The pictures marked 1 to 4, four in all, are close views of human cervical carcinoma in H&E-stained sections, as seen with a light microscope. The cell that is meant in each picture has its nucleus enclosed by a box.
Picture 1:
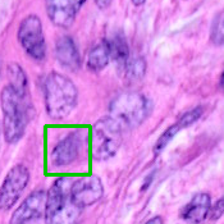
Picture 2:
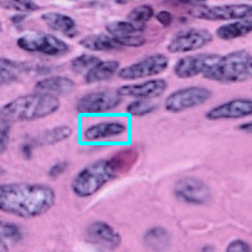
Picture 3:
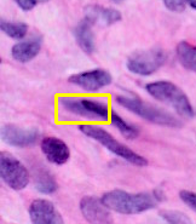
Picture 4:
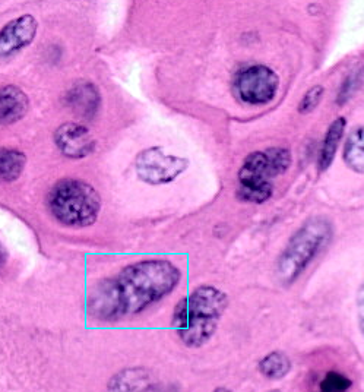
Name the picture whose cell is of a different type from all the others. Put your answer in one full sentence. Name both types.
Picture 3 differs, because its cell is a fibroblast and the rest are squamous carcinoma cells.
